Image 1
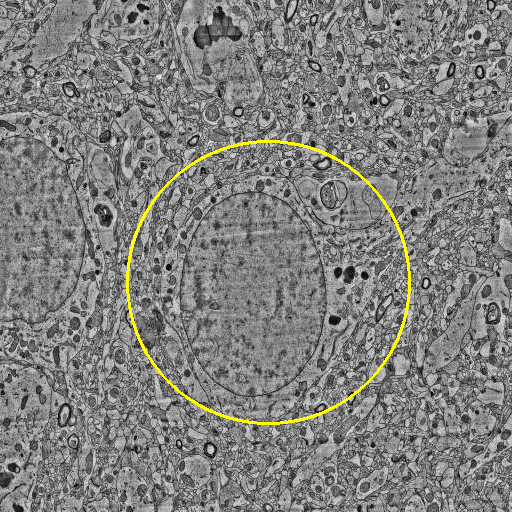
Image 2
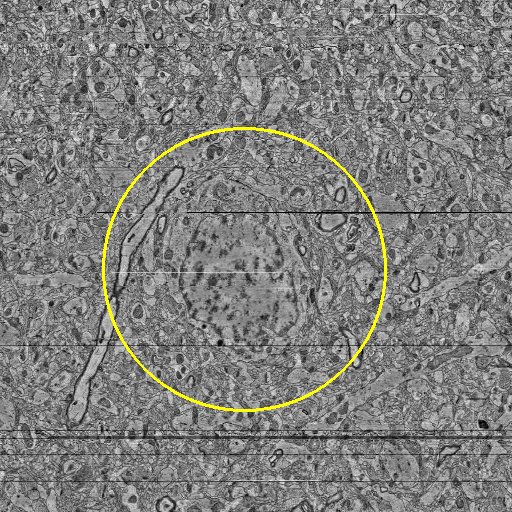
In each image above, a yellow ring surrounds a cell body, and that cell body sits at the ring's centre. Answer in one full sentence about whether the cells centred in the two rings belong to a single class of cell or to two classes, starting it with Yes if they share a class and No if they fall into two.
No, the cells centred in the two yellow rings belong to two classes of cell.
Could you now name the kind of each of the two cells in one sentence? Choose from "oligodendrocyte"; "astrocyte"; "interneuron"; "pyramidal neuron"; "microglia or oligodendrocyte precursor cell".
The first ring encloses a pyramidal neuron; the second ring encloses an interneuron.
